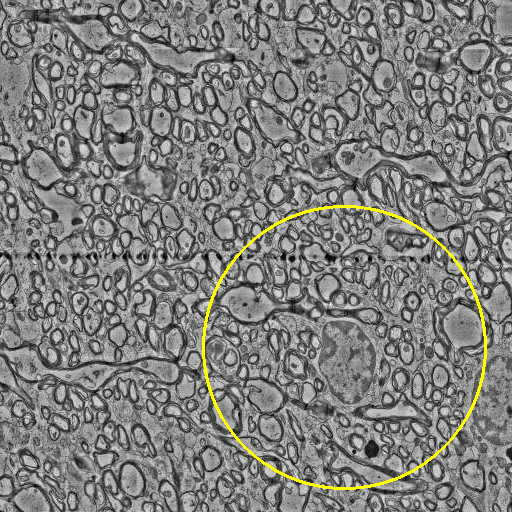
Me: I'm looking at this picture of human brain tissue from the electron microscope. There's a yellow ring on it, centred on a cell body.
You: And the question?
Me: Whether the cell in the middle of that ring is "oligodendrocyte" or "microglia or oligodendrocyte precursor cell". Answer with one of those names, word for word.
microglia or oligodendrocyte precursor cell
